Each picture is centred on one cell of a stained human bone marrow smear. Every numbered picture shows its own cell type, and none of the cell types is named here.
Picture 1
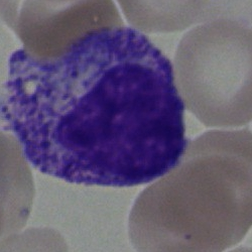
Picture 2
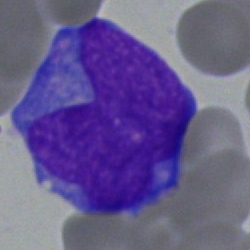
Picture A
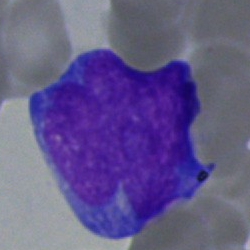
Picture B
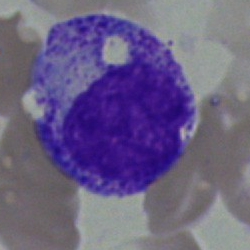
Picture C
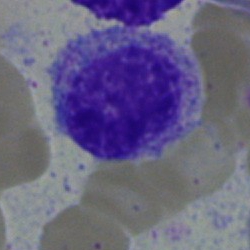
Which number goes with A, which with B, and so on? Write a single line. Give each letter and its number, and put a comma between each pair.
A 2, B 1, C 1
